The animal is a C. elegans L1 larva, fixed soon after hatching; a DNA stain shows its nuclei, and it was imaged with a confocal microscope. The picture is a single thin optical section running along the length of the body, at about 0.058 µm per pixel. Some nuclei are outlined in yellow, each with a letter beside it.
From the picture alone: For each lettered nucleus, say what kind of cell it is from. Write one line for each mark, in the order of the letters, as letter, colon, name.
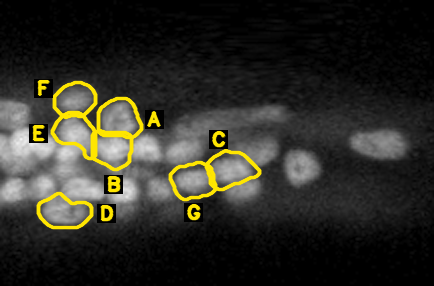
A: body wall muscle cell
B: glial cell (sheath or socket)
C: hypodermal cell (hyp)
D: body wall muscle cell
E: glial cell (sheath or socket)
F: body wall muscle cell
G: glial cell (sheath or socket)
